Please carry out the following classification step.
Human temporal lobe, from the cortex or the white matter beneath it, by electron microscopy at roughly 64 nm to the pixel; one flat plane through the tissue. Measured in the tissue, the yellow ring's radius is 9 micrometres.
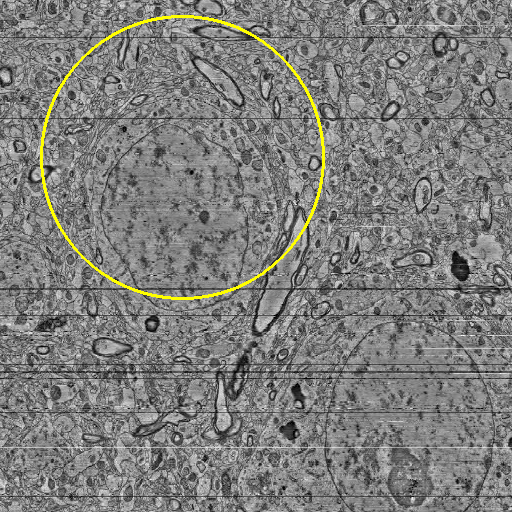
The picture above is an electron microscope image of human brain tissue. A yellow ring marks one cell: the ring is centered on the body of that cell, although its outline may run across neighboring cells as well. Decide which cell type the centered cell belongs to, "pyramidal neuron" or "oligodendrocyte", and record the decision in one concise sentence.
The cell centered in the yellow ring is a pyramidal neuron.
